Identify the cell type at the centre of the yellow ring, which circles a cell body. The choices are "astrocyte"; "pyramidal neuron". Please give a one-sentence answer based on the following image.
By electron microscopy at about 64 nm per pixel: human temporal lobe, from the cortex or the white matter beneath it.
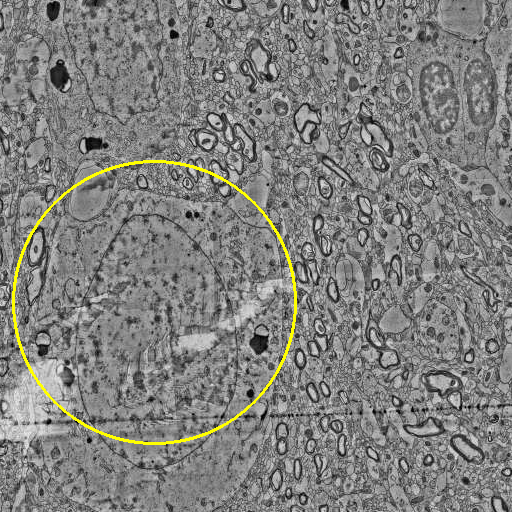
The cell marked by the ring is a pyramidal neuron.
